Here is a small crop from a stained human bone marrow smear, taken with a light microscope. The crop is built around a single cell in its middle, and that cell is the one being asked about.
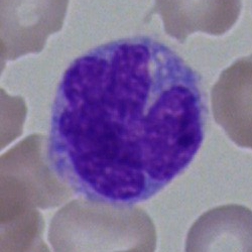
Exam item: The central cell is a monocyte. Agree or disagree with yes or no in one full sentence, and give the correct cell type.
Yes, the cell at the center of the crop is a monocyte.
